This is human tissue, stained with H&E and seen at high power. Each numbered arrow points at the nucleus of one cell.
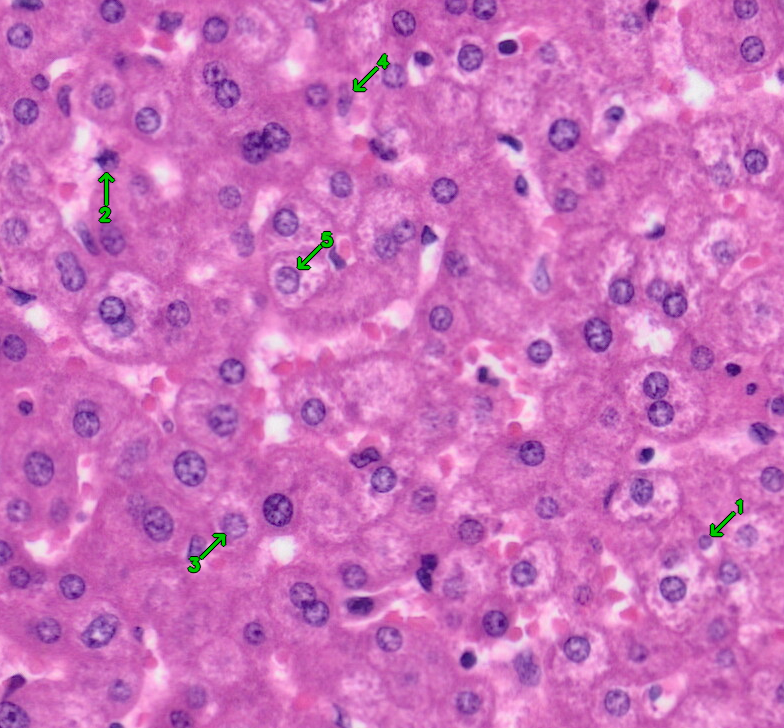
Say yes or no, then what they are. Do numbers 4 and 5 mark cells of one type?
No, cell 4 is recognized as a Kupffer cell, and cell 5 as a hepatocyte.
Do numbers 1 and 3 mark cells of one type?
No, listen: cell 1 is a Kupffer cell and cell 3 is a hepatocyte.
